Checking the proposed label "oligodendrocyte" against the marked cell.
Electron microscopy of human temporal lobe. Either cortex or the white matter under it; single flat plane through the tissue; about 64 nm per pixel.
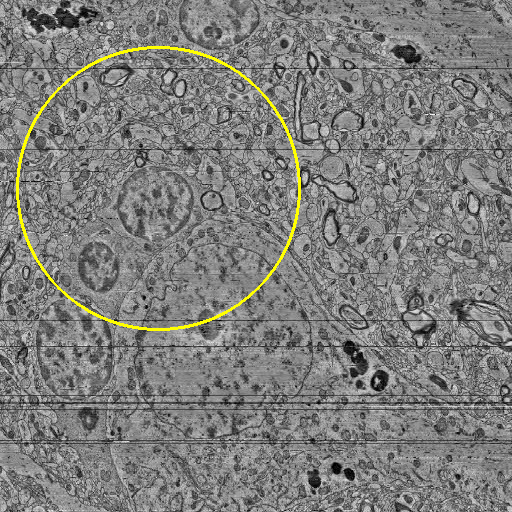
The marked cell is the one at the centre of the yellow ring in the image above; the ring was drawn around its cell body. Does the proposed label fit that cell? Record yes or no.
yes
